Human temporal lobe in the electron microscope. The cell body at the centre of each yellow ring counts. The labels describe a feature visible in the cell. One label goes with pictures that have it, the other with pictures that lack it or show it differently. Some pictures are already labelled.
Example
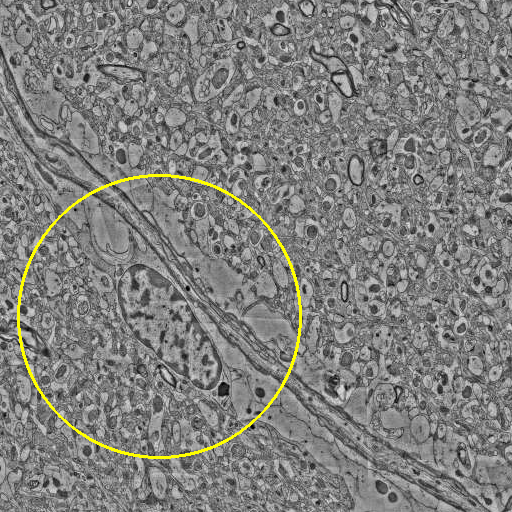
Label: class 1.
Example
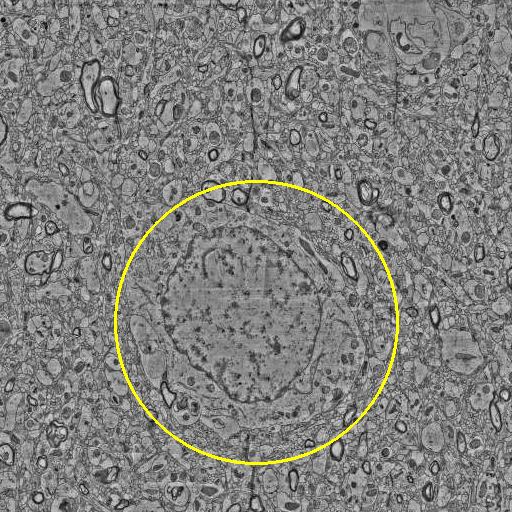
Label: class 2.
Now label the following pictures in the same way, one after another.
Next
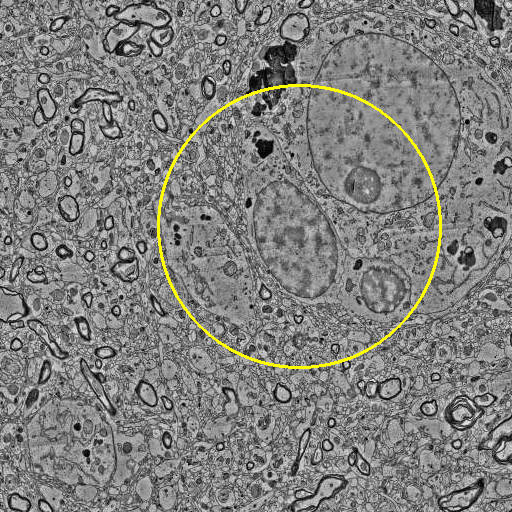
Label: class 1.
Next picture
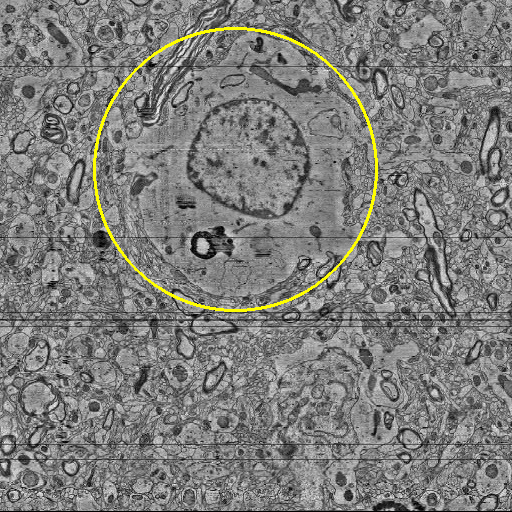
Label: class 2.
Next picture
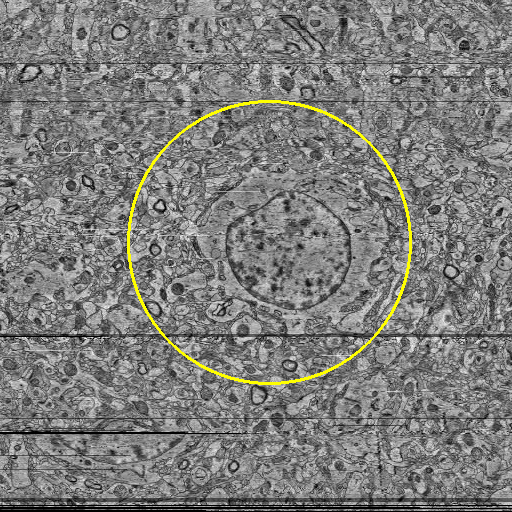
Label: class 2.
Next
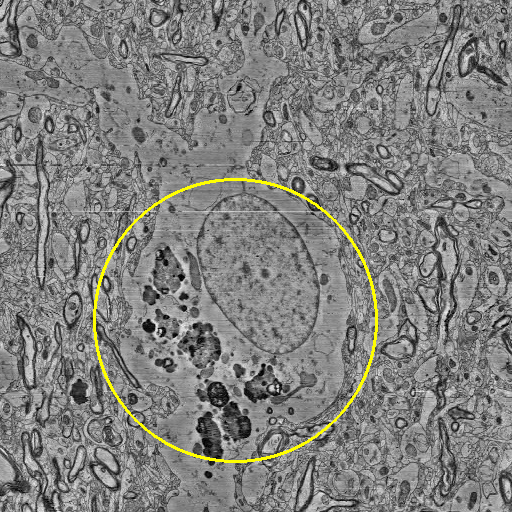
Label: class 1.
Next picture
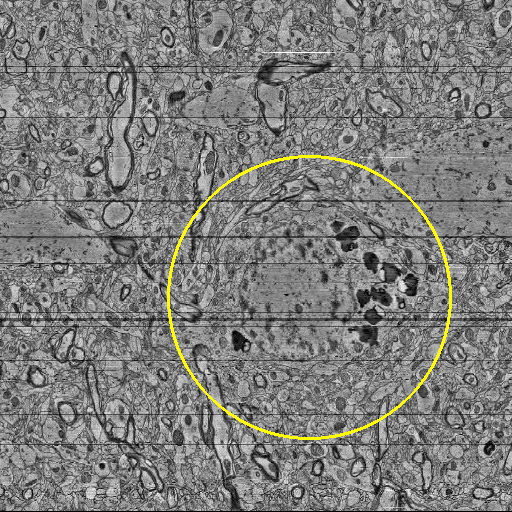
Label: class 1.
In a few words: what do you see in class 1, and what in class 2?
class 1, clearly elongated nuclei; class 2, round or nearly round nuclei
